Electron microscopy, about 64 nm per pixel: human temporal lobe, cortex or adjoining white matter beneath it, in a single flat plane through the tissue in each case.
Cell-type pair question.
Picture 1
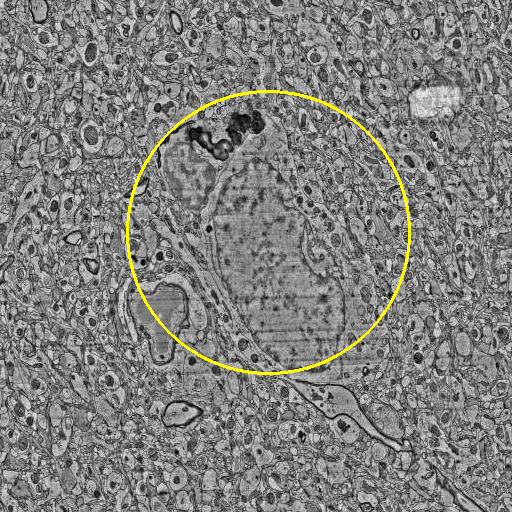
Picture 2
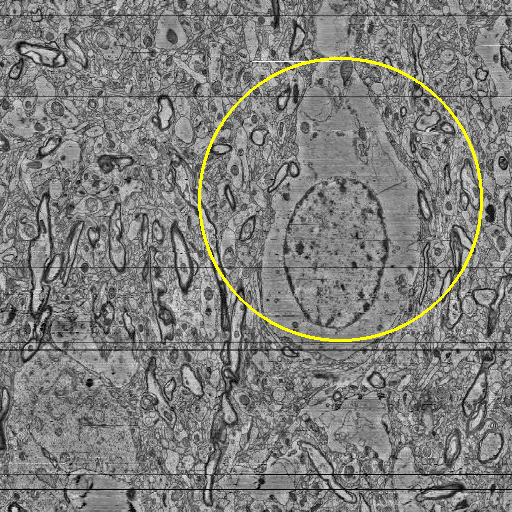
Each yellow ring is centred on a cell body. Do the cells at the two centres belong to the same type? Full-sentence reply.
No, the two cells belong to two types.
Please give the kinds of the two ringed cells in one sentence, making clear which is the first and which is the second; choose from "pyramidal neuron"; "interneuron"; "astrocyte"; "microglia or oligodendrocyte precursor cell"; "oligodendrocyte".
In the second picture the ringed cell is an astrocyte; in the first it is an interneuron.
